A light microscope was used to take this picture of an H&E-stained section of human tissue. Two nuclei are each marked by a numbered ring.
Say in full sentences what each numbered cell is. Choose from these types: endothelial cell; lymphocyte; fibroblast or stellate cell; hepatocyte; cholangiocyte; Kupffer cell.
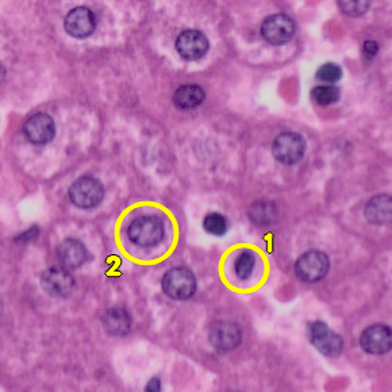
Cell 1 is a lymphocyte. Cell 2 is a hepatocyte.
